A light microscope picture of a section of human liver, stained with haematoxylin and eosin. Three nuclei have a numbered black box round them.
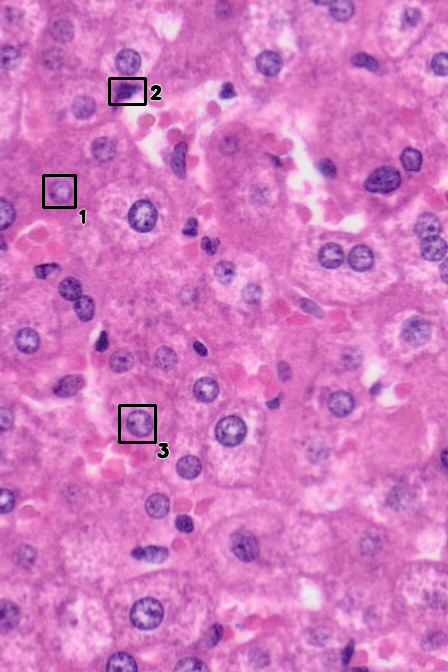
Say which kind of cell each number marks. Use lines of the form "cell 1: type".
cell 1: hepatocyte
cell 2: fibroblast or stellate cell
cell 3: hepatocyte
